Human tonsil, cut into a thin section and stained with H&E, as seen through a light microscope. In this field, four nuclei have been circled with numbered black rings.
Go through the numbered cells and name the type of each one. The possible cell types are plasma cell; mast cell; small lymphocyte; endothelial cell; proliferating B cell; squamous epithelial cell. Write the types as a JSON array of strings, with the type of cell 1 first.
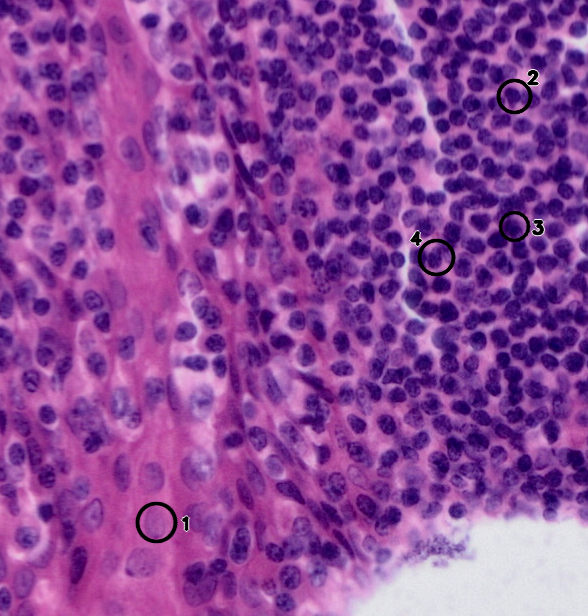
["squamous epithelial cell", "small lymphocyte", "small lymphocyte", "small lymphocyte"]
